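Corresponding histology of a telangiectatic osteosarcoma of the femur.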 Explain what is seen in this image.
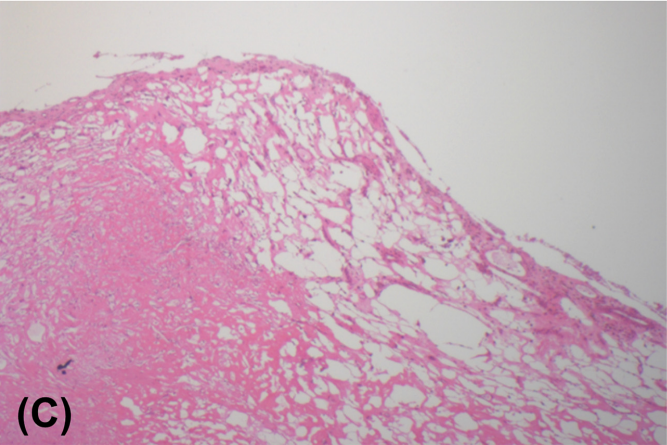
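This is a low-power view of a tumour section stained in pink, with a free edge running across the upper part of the field against the pale background. The tissue is loose and sponge-like, broken up by many empty, clear spaces of varying size and shape. These spaces are separated by thin pink strands and septa. Toward the lower left the tissue becomes denser and more solidly pink, with fewer open spaces. At this magnification few nuclei can be made out, so the architecture of open spaces and thin septa is what stands out, not the individual cells.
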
